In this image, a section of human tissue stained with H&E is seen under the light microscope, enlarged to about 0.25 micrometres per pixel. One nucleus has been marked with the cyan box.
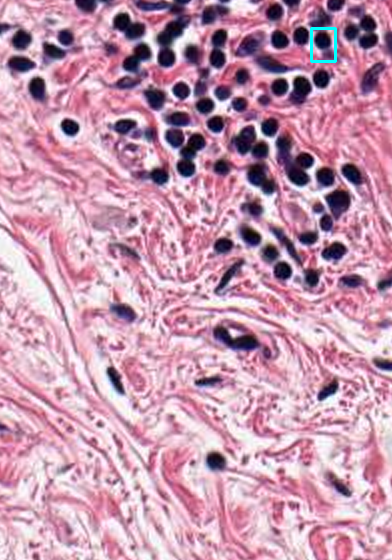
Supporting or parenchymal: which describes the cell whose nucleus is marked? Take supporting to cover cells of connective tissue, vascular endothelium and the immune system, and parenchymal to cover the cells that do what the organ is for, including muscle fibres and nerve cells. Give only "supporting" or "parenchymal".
supporting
